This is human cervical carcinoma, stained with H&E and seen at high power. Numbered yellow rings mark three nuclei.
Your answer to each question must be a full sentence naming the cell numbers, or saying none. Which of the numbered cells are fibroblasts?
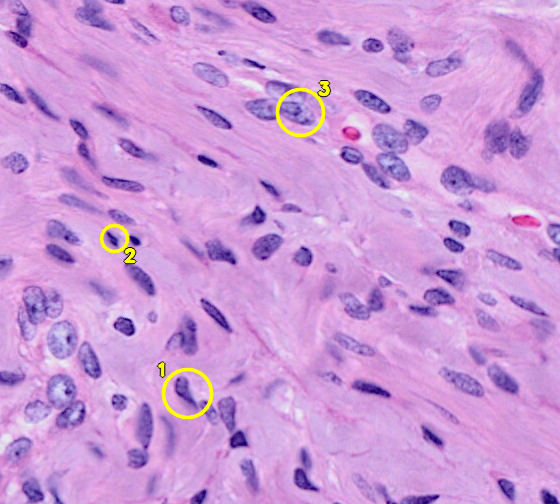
To be specific, the cells numbered 1 and 2 are fibroblasts.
